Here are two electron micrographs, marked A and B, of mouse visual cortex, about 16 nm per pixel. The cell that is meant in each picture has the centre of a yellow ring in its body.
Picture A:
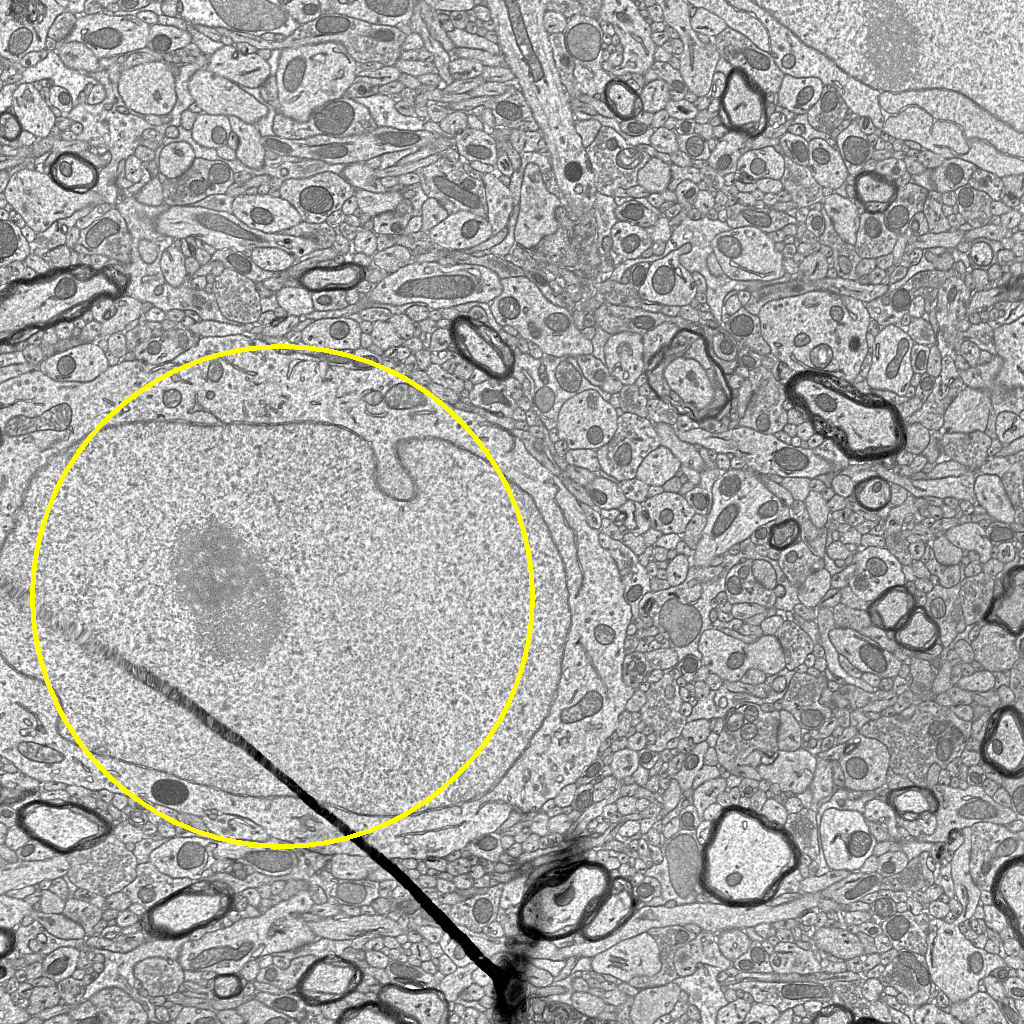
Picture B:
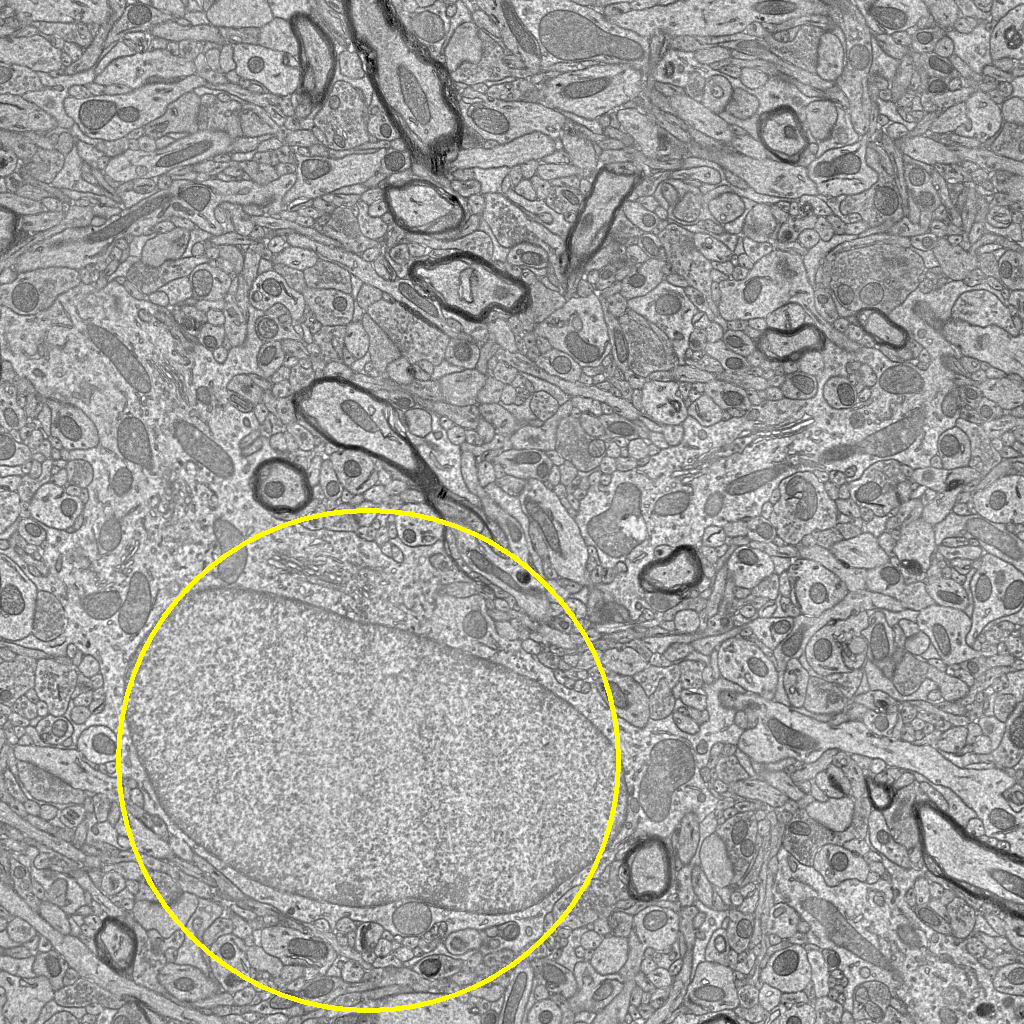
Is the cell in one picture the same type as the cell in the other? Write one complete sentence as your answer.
No. Picture A shows an excitatory neuron, but picture B shows an astrocyte.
